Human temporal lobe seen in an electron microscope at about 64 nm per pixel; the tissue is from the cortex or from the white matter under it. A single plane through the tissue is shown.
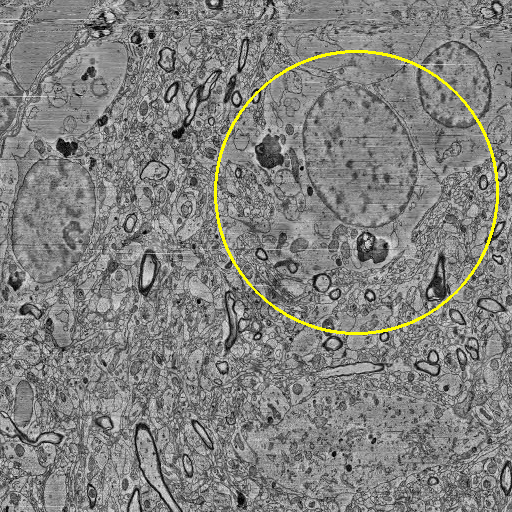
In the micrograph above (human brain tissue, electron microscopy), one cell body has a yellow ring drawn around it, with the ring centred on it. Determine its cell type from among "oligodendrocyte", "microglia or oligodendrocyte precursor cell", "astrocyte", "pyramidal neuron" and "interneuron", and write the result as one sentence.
The cell whose body is ringed is an astrocyte.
